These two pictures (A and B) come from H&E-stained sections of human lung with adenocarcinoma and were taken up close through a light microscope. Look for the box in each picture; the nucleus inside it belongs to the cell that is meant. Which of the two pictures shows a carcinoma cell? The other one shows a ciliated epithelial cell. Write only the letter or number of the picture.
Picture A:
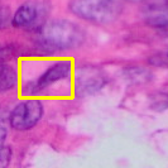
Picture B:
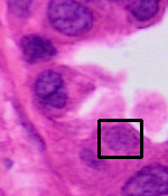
B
